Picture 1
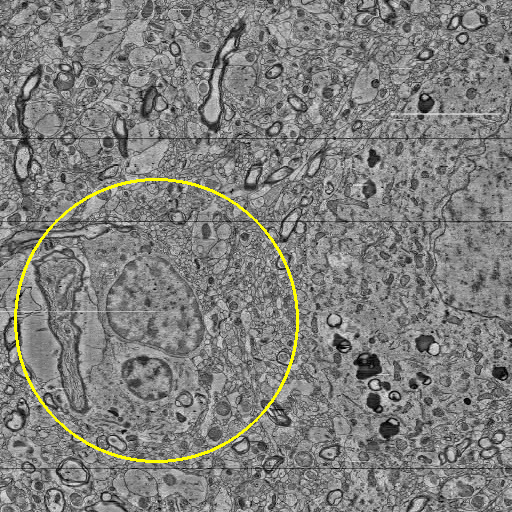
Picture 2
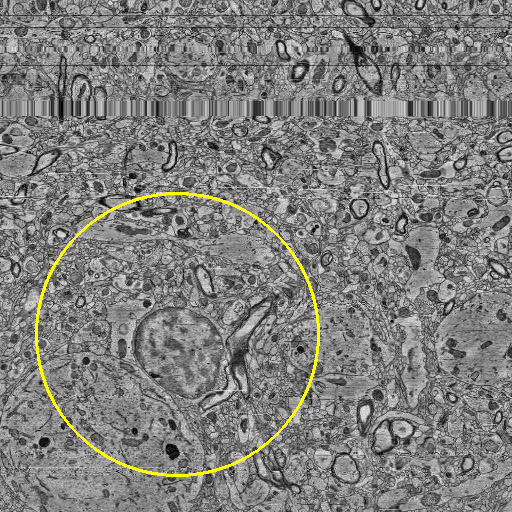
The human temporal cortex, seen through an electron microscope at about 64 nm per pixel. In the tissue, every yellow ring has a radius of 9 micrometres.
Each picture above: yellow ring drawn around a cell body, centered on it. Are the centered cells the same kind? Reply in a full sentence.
Yes, the two cells are the same kind.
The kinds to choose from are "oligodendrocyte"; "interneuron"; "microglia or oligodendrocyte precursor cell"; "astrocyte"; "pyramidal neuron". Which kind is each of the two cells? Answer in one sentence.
Each of the two rings surrounds an oligodendrocyte.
